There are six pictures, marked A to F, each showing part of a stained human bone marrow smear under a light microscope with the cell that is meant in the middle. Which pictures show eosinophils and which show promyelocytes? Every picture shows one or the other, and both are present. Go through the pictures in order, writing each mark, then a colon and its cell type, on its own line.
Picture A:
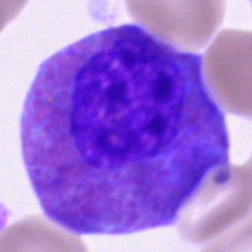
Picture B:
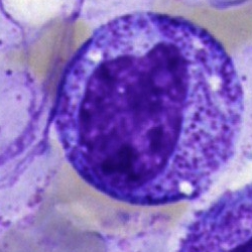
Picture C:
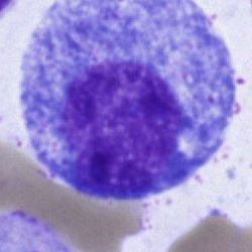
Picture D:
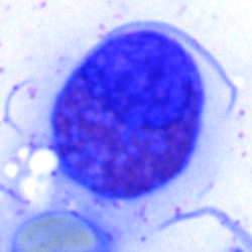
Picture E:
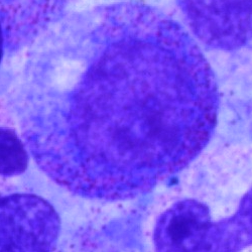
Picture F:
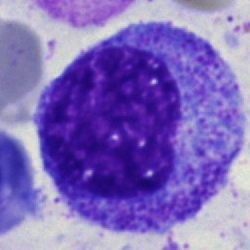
A: eosinophil
B: promyelocyte
C: promyelocyte
D: eosinophil
E: promyelocyte
F: promyelocyte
